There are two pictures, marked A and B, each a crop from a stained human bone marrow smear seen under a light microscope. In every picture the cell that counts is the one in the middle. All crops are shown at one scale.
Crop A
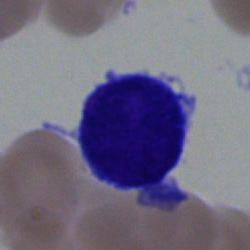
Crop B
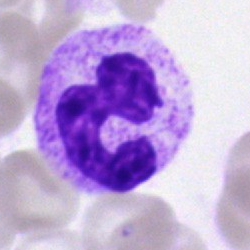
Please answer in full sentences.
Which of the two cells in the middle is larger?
The cell in crop B is larger, with about 1.5 times the area of the one in crop A.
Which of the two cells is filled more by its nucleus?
The nucleus fills more of the cell in crop A than in crop B.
